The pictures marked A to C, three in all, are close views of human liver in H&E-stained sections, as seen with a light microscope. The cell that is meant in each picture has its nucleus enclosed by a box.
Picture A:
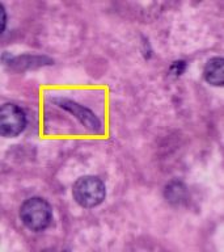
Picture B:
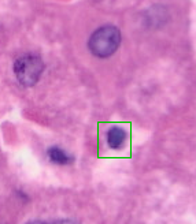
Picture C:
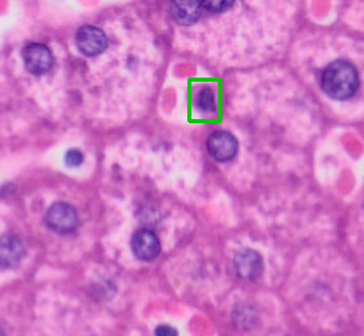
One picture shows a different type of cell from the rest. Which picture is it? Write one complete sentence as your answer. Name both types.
The different one is picture B; it shows a lymphocyte, whereas all the others show Kupffer cells.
